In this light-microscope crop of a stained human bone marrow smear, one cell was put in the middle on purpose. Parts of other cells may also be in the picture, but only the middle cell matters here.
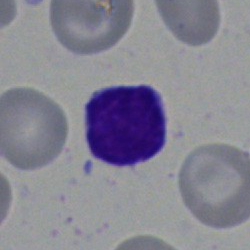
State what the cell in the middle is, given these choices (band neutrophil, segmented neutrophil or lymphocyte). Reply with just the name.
lymphocyte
